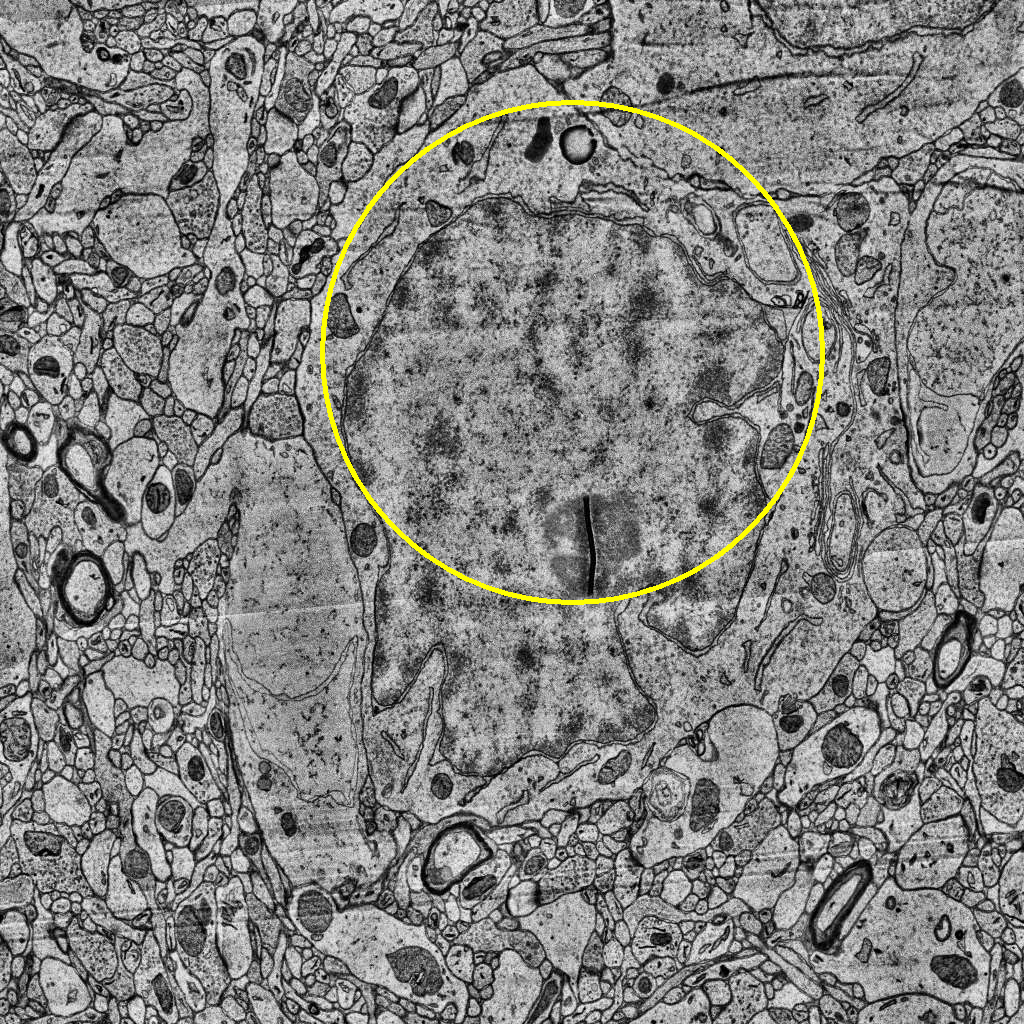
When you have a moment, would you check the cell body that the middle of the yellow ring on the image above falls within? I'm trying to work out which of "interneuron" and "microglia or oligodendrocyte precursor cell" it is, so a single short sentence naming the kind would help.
This cell body belongs to an interneuron.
